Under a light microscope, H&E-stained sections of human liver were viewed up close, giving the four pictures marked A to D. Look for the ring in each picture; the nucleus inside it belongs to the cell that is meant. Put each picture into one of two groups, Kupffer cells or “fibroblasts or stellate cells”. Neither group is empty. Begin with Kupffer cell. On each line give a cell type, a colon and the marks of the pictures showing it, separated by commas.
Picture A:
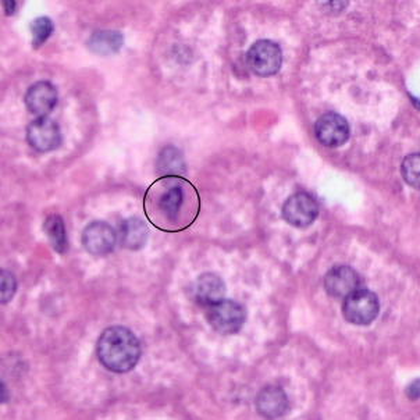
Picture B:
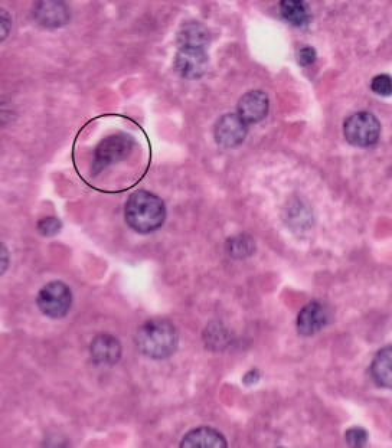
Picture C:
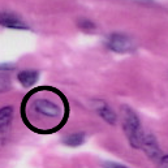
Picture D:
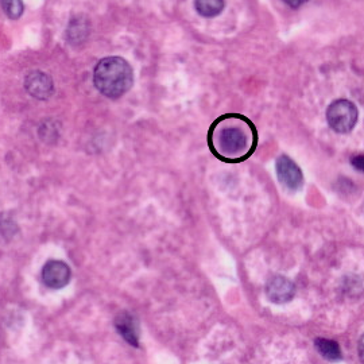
Kupffer cell: B
fibroblast or stellate cell: A, C, D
